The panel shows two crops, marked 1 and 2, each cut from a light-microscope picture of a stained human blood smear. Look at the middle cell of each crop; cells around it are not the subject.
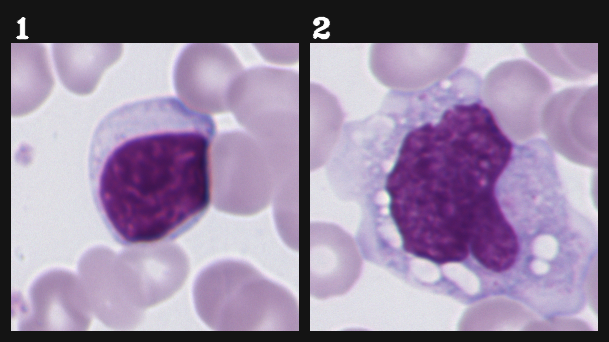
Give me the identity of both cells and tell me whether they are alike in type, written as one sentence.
No, the cell in crop 1 is a large granular lymphocyte, and the cell in crop 2 is a monocyte.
